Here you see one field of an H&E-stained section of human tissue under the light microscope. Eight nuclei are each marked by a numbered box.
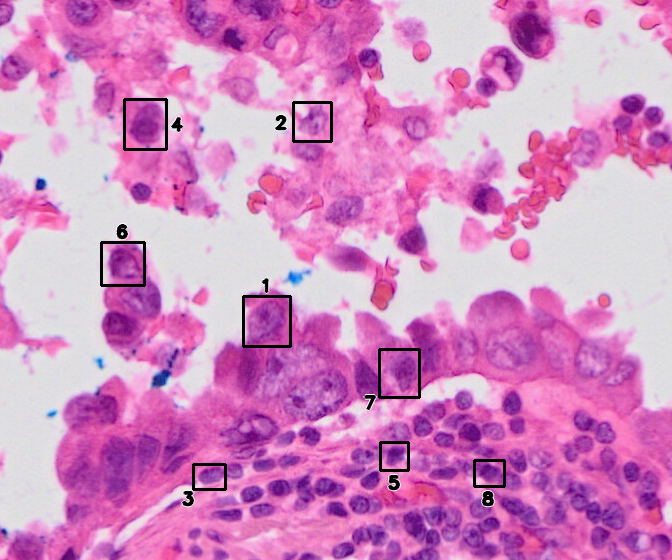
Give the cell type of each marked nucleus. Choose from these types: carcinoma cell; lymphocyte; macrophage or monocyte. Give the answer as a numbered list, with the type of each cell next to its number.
1. carcinoma cell
2. macrophage or monocyte
3. lymphocyte
4. carcinoma cell
5. lymphocyte
6. carcinoma cell
7. carcinoma cell
8. lymphocyte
